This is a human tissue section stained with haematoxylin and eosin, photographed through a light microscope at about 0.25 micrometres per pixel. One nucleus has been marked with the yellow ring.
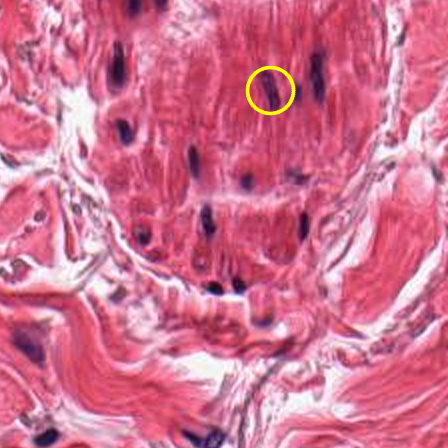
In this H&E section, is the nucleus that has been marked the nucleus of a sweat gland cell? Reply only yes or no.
no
